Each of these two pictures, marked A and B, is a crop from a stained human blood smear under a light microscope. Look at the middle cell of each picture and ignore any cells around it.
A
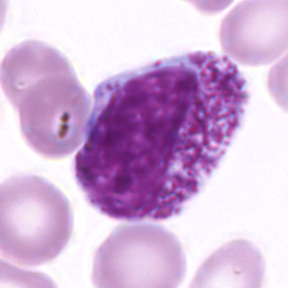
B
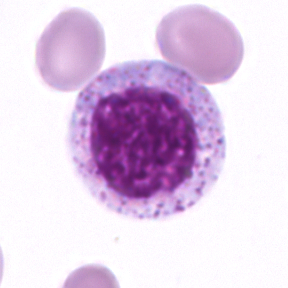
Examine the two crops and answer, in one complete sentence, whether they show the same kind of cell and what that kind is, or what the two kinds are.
Yes, the reply for both crops is myelocytes.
